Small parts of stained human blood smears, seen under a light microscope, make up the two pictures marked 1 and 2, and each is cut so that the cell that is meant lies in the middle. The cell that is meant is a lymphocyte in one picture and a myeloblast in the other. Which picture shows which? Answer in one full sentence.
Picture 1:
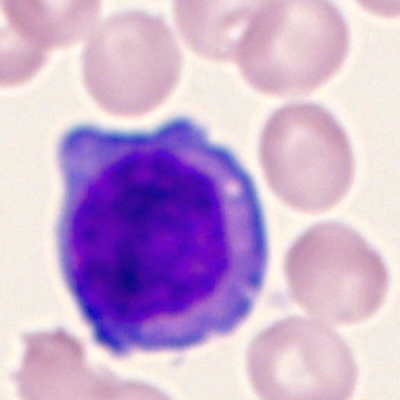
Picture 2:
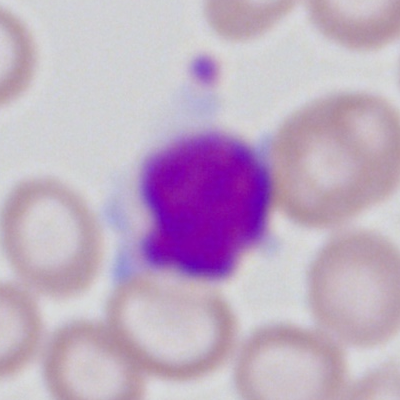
The cell in picture 1 is a myeloblast, and the one in picture 2 is a lymphocyte.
